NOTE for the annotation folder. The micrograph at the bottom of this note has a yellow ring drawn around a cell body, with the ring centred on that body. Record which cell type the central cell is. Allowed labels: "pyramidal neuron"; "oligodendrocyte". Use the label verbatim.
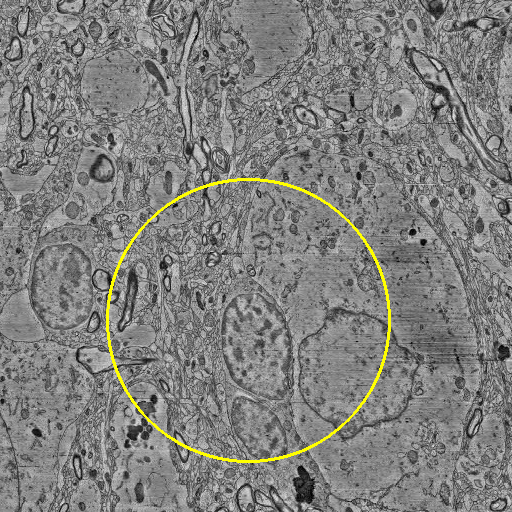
oligodendrocyte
